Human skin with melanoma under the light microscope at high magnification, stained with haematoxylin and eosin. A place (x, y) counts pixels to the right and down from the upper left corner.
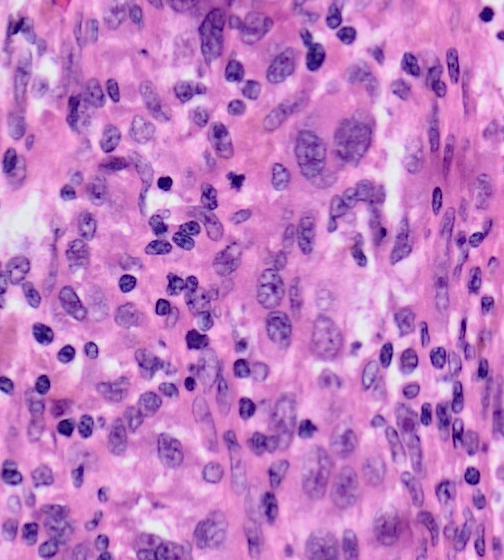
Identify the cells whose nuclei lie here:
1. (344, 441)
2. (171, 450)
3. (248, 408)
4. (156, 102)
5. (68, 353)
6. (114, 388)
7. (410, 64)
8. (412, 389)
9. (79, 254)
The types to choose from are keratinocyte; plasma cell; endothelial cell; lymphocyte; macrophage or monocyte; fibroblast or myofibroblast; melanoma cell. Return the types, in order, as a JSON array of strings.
["melanoma cell", "melanoma cell", "lymphocyte", "melanoma cell", "lymphocyte", "melanoma cell", "lymphocyte", "macrophage or monocyte", "melanoma cell"]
